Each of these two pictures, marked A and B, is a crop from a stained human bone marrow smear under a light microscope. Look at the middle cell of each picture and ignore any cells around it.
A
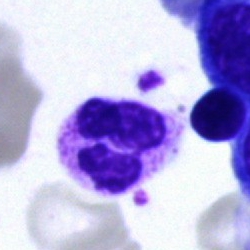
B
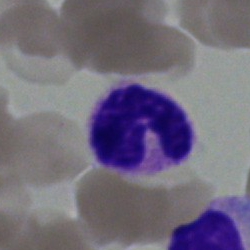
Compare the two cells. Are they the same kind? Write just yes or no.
yes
